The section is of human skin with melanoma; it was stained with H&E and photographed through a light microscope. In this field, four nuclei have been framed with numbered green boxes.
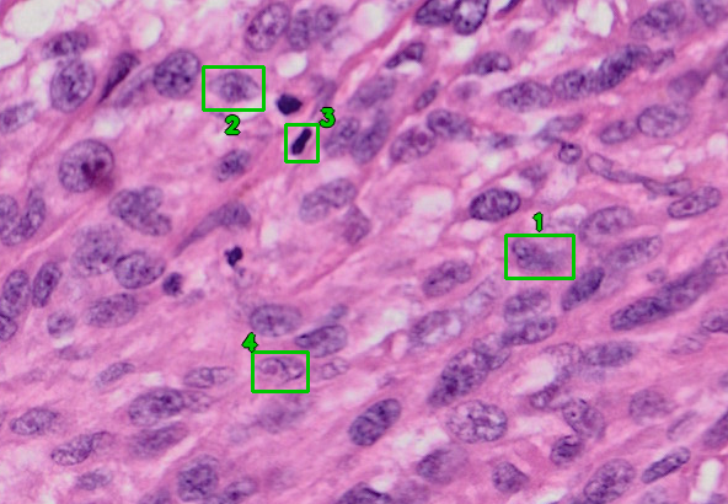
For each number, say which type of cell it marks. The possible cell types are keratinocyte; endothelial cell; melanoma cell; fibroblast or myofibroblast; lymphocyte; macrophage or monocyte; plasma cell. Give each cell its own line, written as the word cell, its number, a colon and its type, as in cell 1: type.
cell 1: melanoma cell
cell 2: melanoma cell
cell 3: lymphocyte
cell 4: melanoma cell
